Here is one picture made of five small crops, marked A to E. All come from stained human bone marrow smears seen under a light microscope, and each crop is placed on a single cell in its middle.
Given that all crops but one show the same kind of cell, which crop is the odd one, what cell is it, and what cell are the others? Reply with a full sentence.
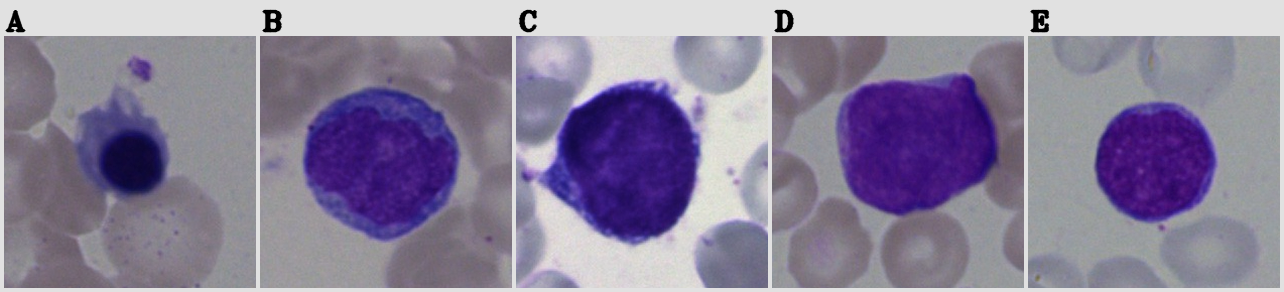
Of these crops, only crop A is an erythroblast; the others are blasts.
